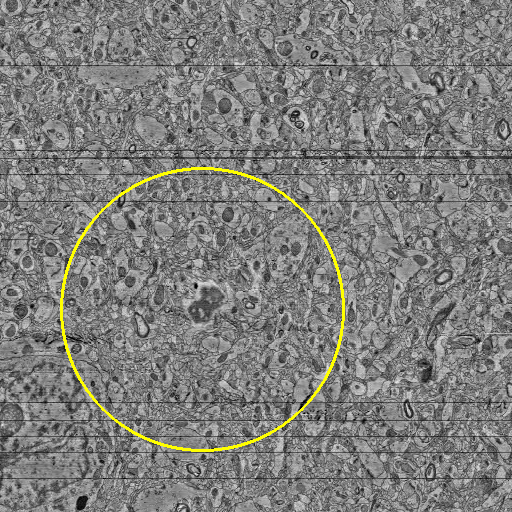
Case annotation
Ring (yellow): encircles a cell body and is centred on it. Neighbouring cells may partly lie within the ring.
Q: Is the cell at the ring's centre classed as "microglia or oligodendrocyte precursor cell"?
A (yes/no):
yes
